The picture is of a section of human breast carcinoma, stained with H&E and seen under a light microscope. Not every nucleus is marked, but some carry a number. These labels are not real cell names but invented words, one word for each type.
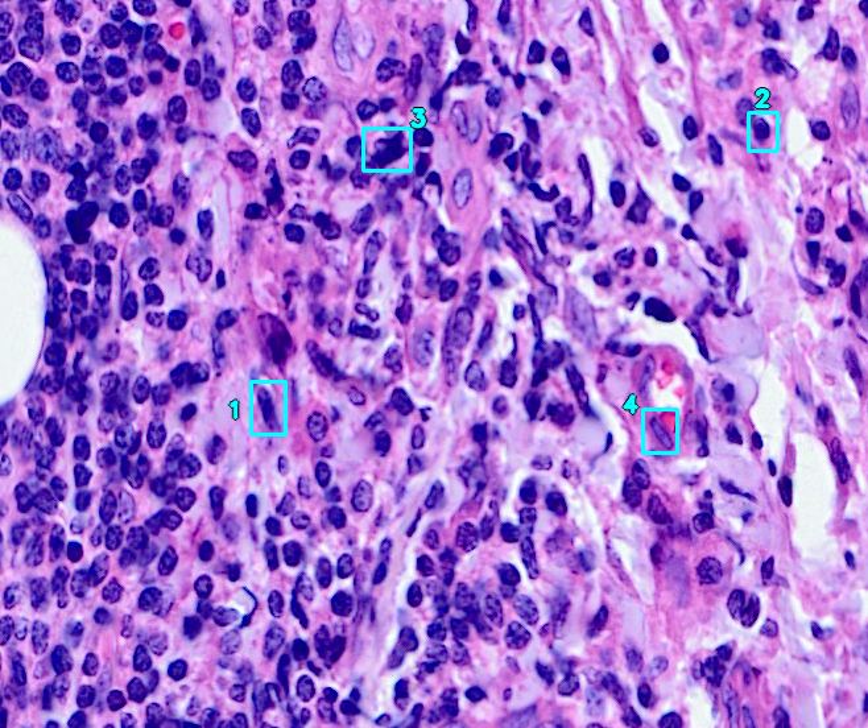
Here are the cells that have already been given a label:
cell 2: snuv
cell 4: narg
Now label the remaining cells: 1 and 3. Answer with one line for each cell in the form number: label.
1: snuv
3: snuv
